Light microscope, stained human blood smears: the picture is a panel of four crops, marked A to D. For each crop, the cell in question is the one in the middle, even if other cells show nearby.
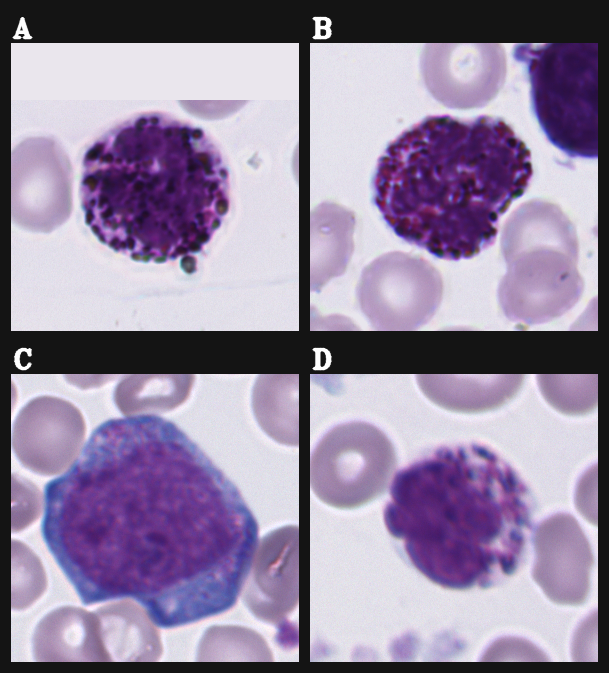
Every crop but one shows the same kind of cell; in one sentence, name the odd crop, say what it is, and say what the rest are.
The outlier here is crop C, which is a promyelocyte, while the remainder show basophils.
